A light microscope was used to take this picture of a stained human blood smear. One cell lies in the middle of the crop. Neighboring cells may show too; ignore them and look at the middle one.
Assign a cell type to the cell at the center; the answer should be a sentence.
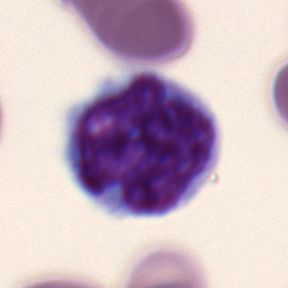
Centred in the crop is a monocyte.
